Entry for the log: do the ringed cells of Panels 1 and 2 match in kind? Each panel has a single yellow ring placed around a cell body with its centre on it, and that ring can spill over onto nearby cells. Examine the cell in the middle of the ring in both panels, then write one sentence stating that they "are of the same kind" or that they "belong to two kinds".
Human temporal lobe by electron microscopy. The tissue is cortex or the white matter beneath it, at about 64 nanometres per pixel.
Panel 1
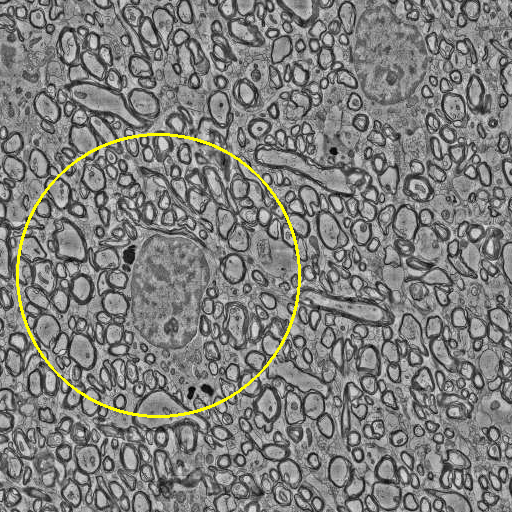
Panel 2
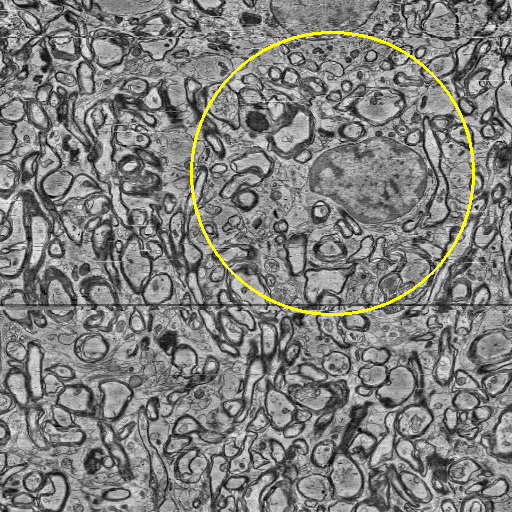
The centre cell of Panel 1's ring and that of Panel 2's ring belong to two kinds.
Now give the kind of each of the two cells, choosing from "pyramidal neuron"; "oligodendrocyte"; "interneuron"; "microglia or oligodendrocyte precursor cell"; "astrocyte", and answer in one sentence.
The cell in the first picture is an oligodendrocyte, and the cell in the second is a microglial cell or oligodendrocyte precursor cell.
